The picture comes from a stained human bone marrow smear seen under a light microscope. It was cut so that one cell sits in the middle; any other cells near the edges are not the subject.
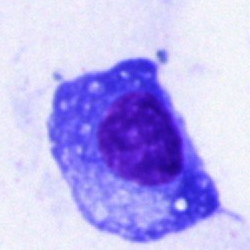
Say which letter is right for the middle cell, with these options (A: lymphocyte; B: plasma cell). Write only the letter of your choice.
B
